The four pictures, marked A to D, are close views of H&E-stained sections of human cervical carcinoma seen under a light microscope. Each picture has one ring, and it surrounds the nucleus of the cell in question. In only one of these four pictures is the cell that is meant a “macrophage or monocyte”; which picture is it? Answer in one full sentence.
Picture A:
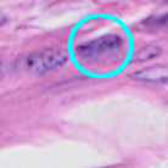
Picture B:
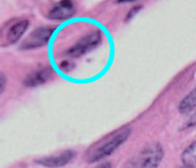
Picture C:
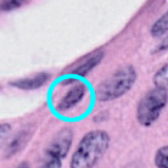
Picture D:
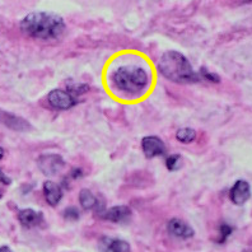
The cell in picture D is the “macrophage or monocyte”.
